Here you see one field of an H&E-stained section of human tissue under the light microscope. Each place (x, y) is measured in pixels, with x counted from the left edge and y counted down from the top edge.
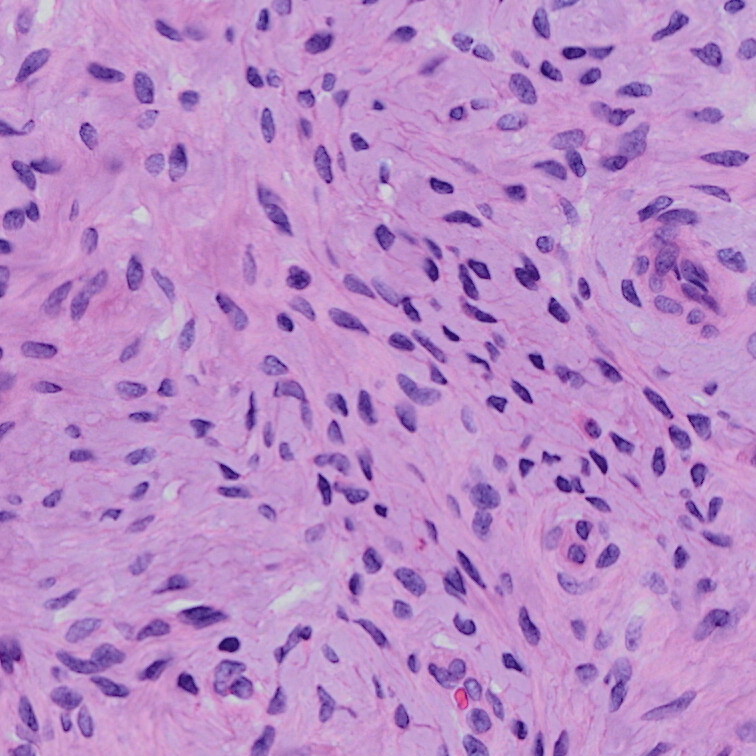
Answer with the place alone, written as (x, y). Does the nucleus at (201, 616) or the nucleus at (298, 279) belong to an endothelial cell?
(201, 616)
